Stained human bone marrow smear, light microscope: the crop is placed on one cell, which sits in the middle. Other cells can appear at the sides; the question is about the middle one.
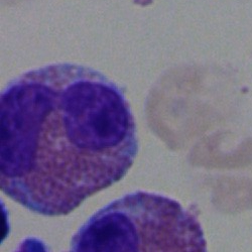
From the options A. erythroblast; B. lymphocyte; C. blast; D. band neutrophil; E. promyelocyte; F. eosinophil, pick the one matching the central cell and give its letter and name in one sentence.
The central cell is an eosinophil, which makes option F the right answer.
